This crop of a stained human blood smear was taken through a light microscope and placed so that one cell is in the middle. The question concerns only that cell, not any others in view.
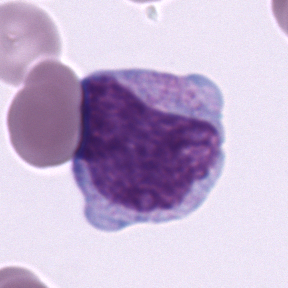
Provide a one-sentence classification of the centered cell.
In the centre of this crop there is an atypical promyelocyte.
